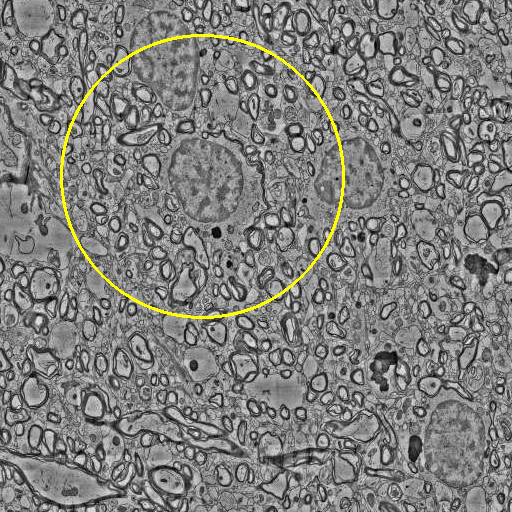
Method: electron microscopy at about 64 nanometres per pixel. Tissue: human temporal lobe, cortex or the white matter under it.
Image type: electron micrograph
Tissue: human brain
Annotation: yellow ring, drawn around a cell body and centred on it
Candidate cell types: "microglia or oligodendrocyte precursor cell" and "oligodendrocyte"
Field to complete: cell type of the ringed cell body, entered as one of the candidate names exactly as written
oligodendrocyte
